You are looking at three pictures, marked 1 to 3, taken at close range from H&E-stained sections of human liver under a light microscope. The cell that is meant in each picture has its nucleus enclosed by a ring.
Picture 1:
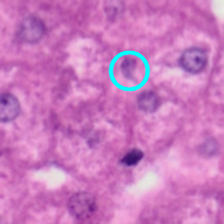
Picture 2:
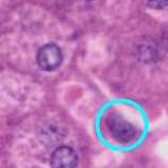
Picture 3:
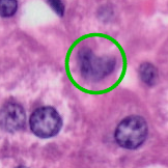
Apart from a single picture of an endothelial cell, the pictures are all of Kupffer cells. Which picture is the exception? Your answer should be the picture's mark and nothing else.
1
